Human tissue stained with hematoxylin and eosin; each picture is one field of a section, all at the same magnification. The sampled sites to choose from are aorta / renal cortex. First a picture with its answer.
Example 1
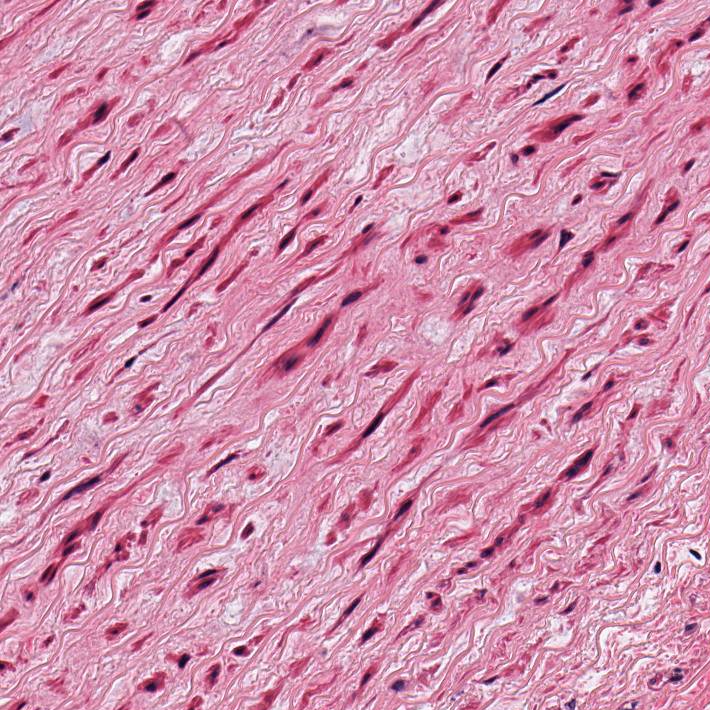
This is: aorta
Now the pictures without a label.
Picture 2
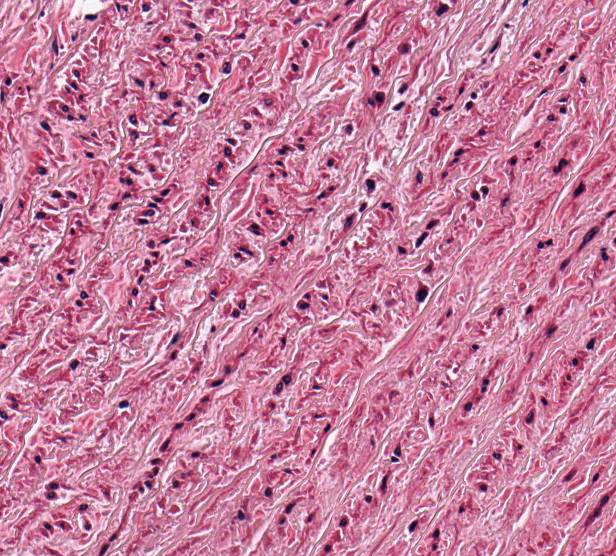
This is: aorta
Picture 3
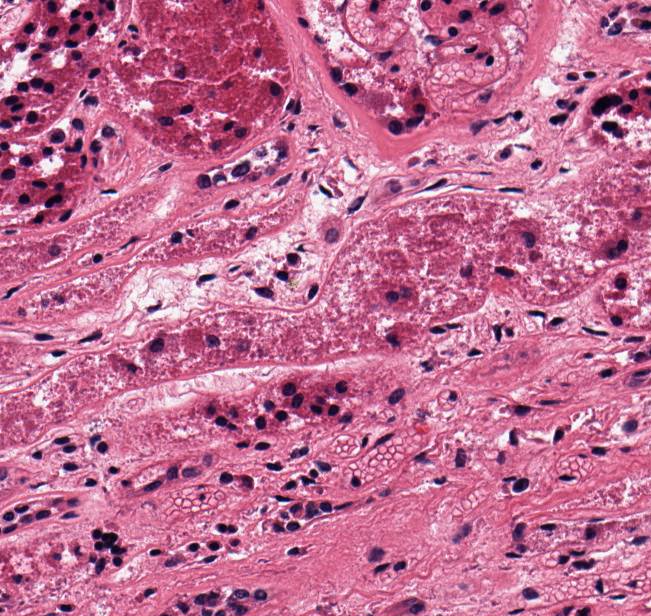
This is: renal cortex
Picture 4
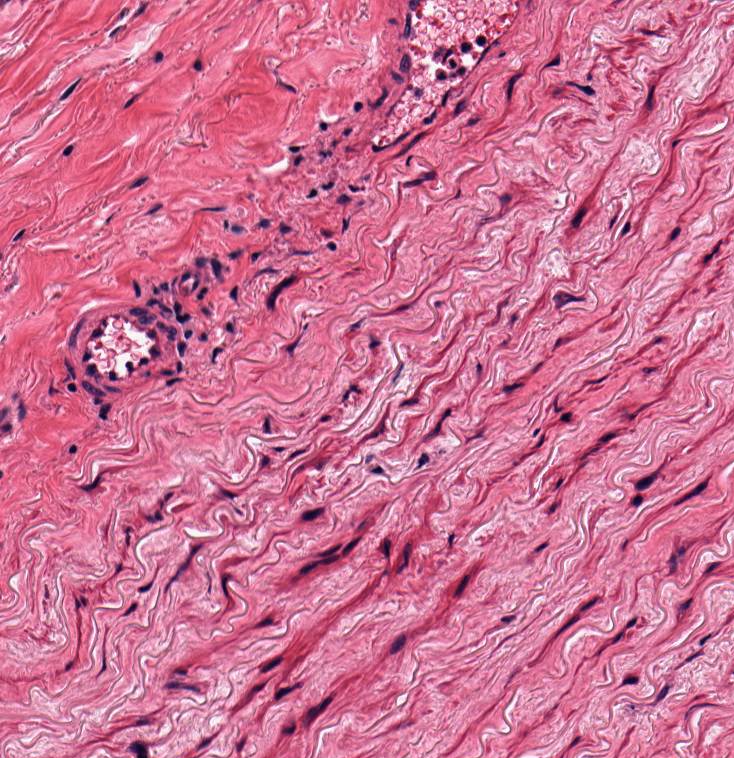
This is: aorta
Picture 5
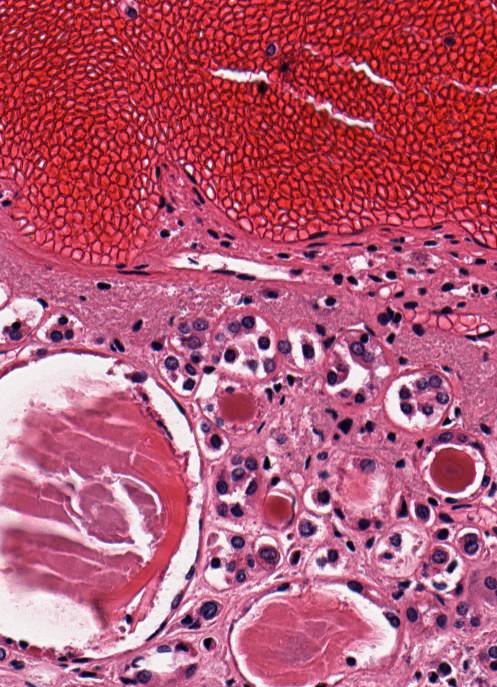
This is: renal cortex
